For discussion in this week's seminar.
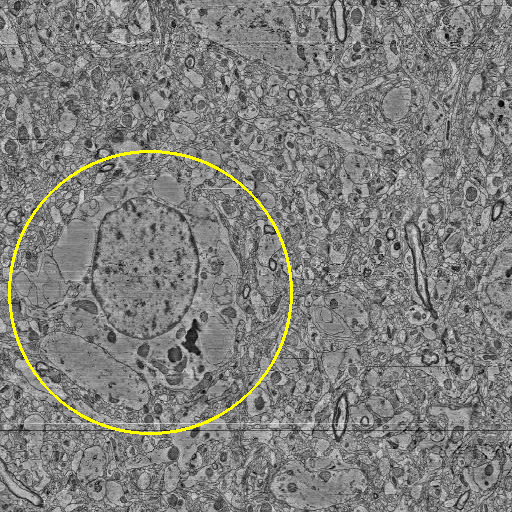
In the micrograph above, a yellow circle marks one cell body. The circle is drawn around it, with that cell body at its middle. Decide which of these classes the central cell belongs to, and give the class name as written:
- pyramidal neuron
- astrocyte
astrocyte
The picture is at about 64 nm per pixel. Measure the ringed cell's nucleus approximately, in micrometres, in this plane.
In this plane, the nucleus of the cell at the centre of the ring measures about 9 by 7 micrometres.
